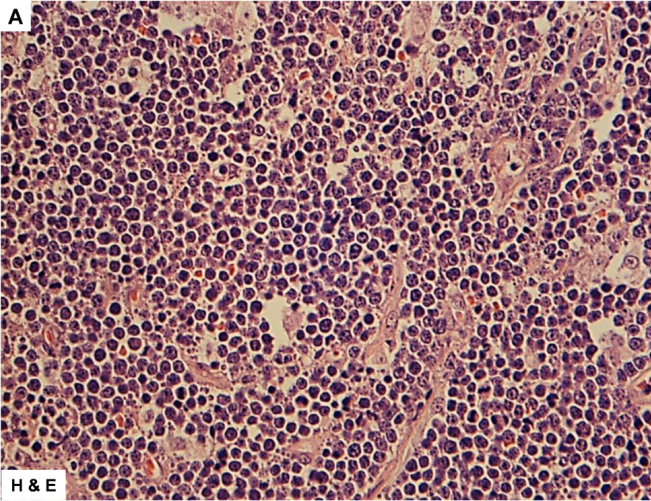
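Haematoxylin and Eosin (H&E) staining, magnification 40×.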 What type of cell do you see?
medium-sized lymphocytes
